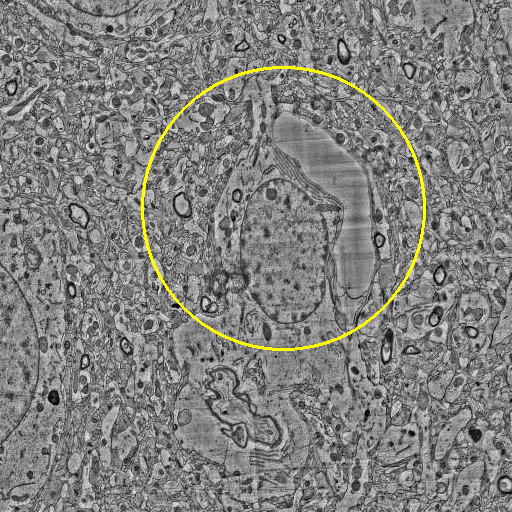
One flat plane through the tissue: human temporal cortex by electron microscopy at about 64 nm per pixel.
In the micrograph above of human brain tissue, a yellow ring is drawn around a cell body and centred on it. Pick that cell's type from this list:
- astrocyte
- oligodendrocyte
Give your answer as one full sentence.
Going by the list, an astrocyte is the cell on which the yellow ring is centred.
